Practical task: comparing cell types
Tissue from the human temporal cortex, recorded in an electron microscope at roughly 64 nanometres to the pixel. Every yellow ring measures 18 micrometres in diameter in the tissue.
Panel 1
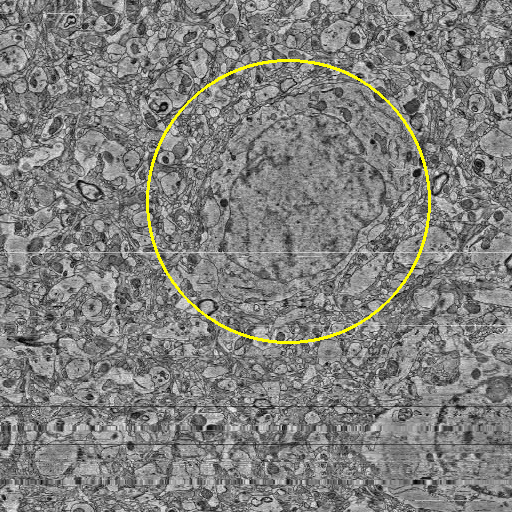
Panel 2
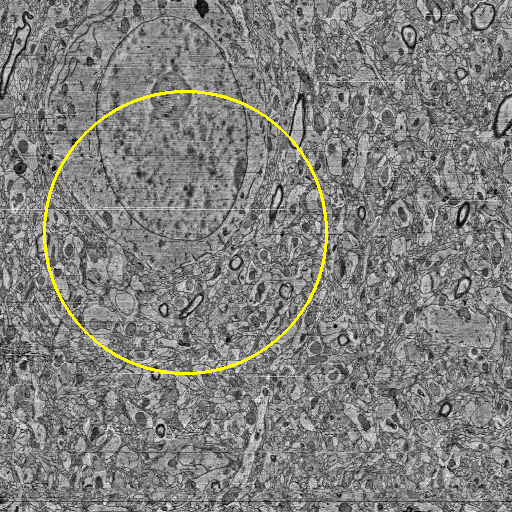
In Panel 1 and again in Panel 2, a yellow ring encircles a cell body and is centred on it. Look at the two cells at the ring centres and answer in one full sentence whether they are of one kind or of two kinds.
The two cells sitting at the ring centres of Panels 1 and 2 are of two kinds.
